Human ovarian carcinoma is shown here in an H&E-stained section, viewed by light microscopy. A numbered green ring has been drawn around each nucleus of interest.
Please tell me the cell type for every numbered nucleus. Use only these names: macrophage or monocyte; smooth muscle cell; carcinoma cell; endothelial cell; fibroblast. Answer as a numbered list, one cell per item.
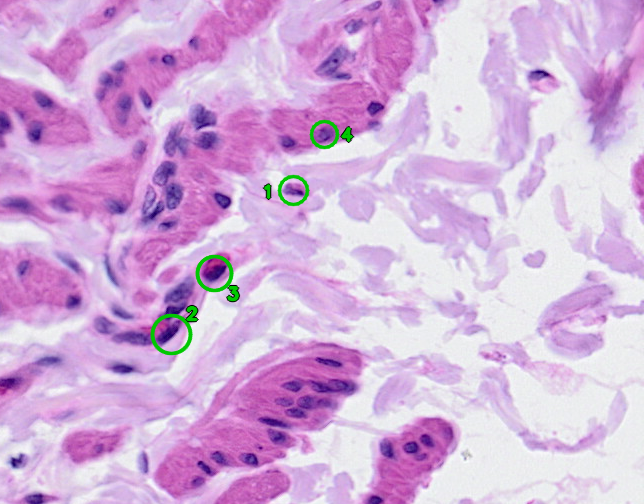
1. fibroblast
2. endothelial cell
3. endothelial cell
4. smooth muscle cell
